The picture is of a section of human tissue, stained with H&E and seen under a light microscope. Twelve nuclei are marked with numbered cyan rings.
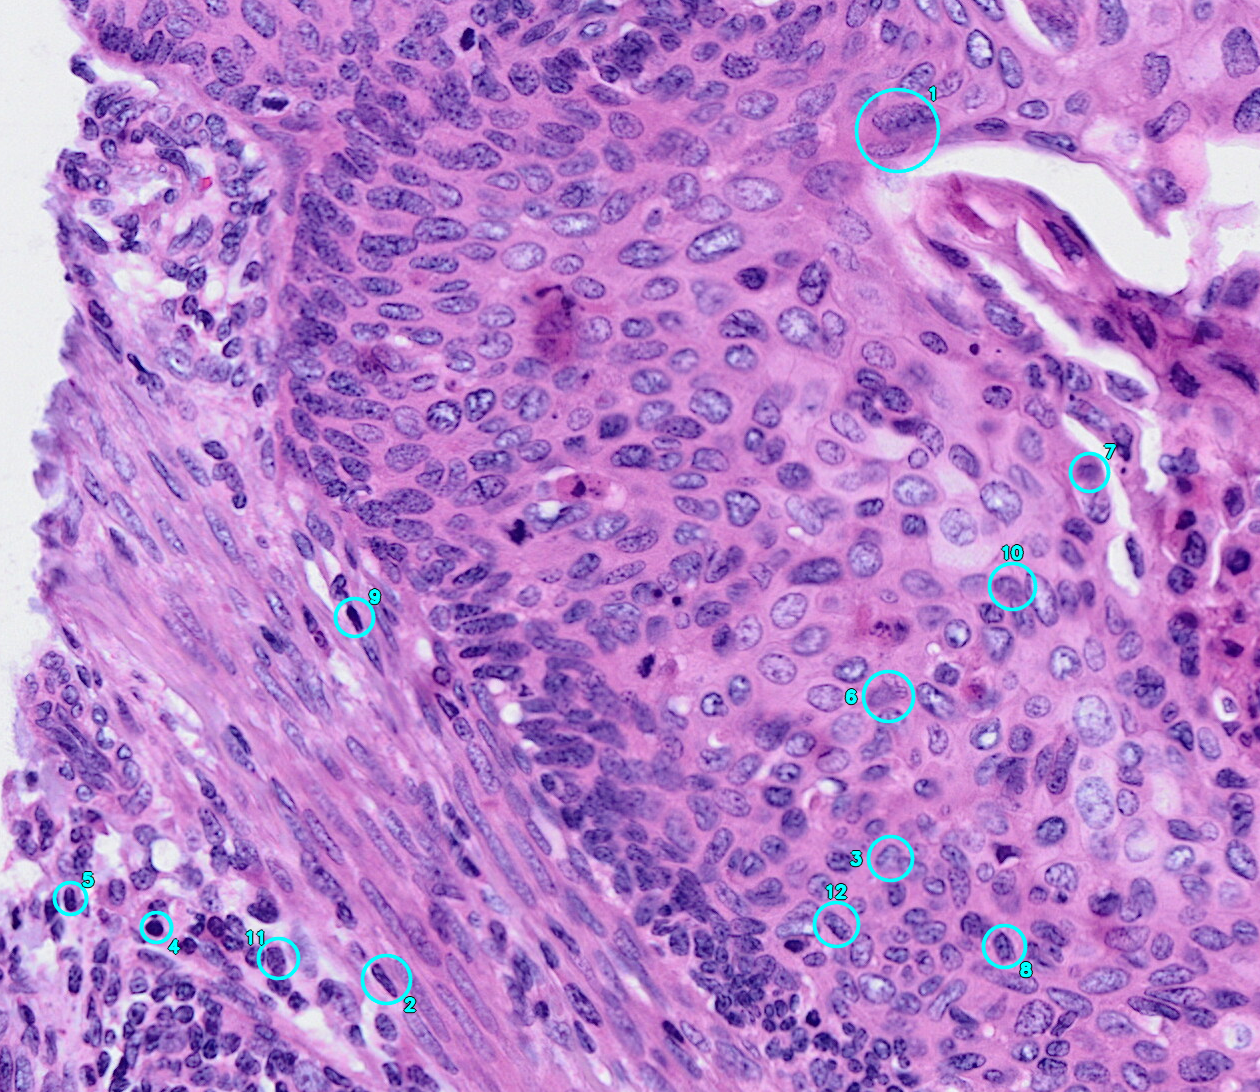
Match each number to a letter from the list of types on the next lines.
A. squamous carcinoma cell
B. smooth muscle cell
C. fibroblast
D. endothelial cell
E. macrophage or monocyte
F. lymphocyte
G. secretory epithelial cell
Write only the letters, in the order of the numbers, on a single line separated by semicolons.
A; F; A; F; F; A; A; A; F; A; F; A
